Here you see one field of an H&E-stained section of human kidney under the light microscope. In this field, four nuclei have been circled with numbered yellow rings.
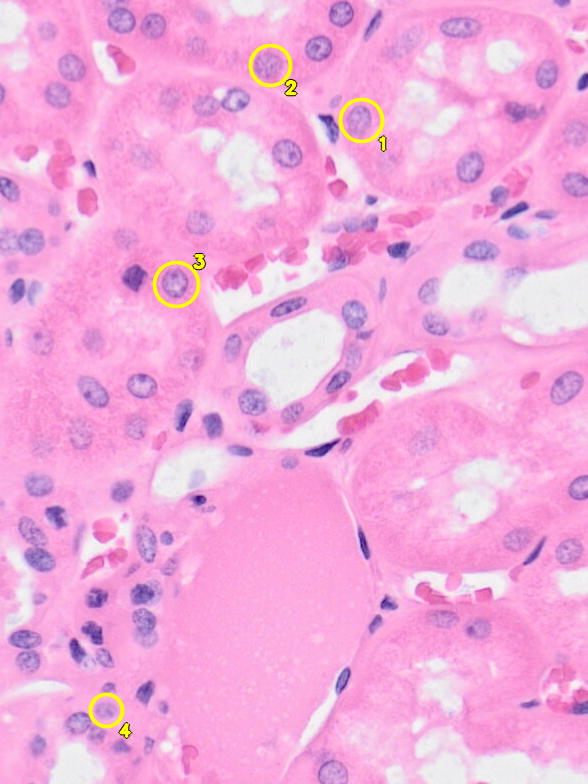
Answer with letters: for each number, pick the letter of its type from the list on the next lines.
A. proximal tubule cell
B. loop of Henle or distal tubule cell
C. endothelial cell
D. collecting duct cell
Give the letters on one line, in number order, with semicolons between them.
A; A; A; D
